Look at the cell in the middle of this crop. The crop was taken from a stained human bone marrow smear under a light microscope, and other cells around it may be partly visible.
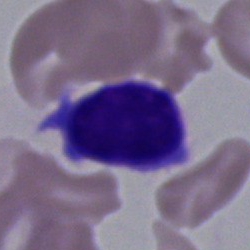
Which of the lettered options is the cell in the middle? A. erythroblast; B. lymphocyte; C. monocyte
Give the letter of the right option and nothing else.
B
